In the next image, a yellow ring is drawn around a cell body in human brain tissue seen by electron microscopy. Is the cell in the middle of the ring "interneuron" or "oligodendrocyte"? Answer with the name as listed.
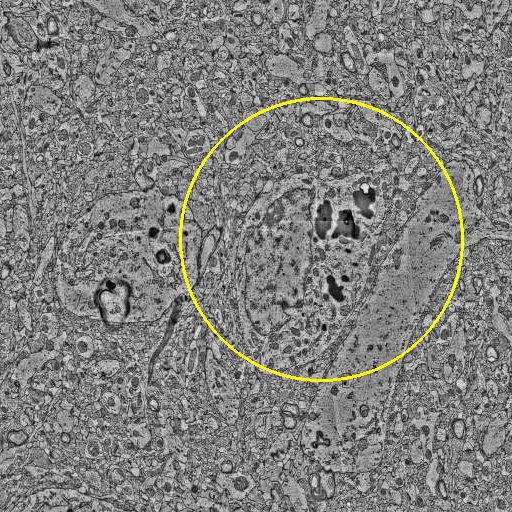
interneuron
